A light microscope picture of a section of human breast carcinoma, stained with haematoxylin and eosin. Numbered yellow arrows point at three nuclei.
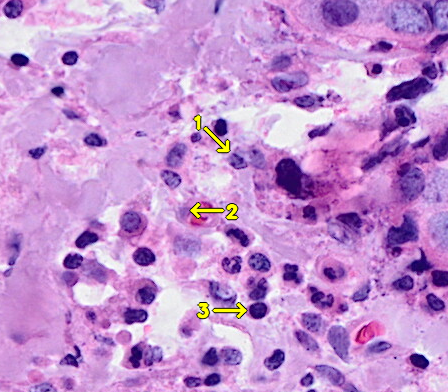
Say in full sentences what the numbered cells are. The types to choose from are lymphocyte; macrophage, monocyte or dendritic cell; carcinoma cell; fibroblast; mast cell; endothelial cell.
Cell 1 is a macrophage, monocyte or dendritic cell, cell 2 is an endothelial cell and cell 3 is a lymphocyte.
